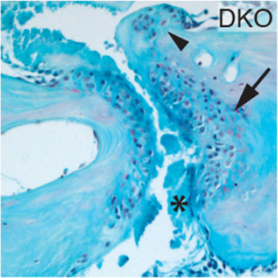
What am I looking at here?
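Two blue-green stained cartilage elements meet at a joint, and one of them carries a thick band of many rounded chondrocytes in lacunae beneath its surface. The joint space between them holds fragmented, cell-free matrix, and the joint edge shows a crowded cluster of cells. These are the expanded deep chondrocytes, acellular matrix in the cavity and synovial hyperplasia of an abnormal joint.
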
